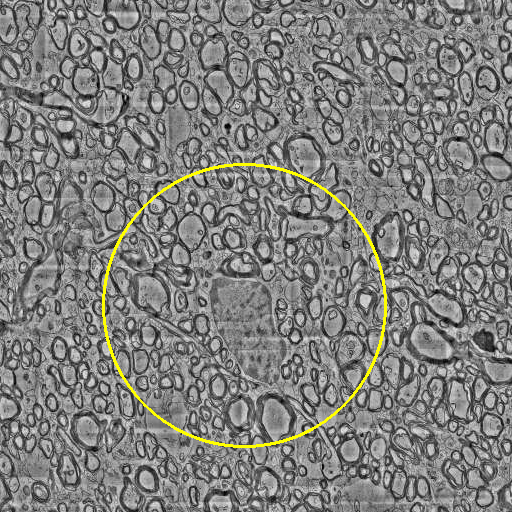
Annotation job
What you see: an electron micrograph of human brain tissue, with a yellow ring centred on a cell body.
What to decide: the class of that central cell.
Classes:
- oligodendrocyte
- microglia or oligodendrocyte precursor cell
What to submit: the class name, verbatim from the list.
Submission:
microglia or oligodendrocyte precursor cell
